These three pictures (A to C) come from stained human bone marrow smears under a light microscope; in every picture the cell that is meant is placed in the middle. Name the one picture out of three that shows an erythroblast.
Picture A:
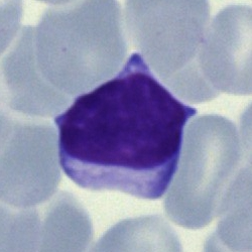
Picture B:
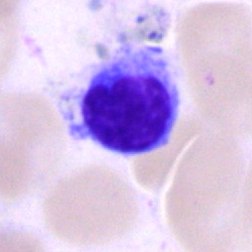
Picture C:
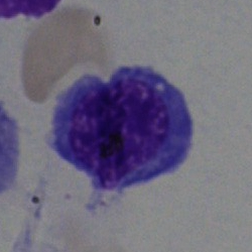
C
